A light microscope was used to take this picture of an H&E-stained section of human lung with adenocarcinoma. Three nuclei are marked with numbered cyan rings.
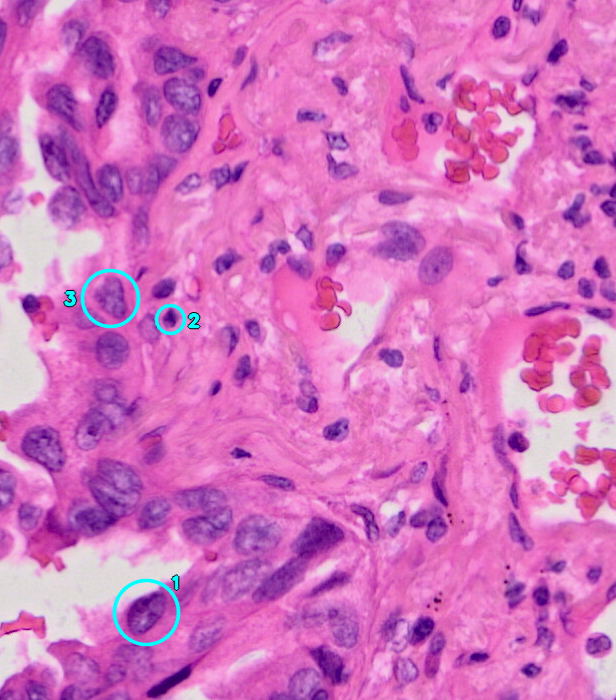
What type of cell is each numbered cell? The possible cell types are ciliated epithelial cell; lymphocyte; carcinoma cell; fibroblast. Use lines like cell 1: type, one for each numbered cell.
cell 1: carcinoma cell
cell 2: lymphocyte
cell 3: carcinoma cell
